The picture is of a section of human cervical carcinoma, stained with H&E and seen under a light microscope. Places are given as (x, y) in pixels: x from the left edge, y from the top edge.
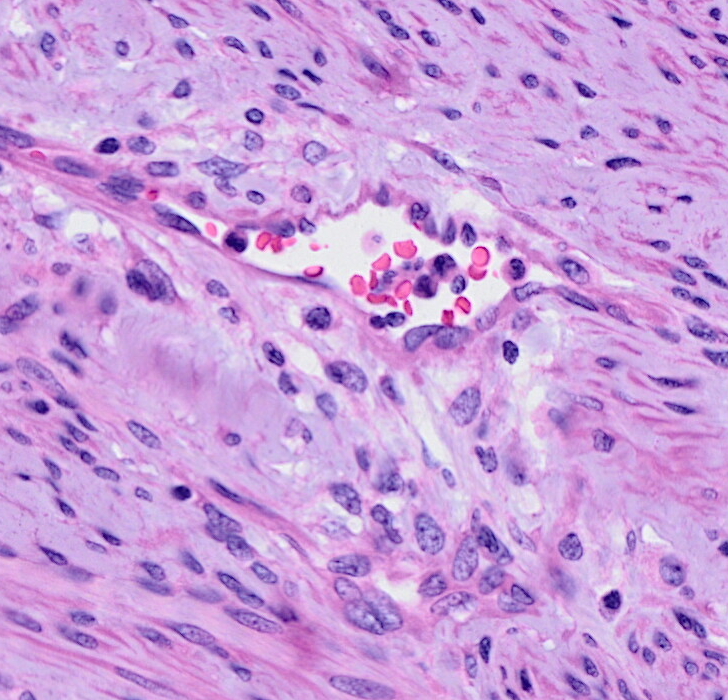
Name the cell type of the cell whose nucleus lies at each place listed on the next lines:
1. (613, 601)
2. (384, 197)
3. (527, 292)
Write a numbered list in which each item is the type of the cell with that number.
1. lymphocyte
2. endothelial cell
3. endothelial cell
